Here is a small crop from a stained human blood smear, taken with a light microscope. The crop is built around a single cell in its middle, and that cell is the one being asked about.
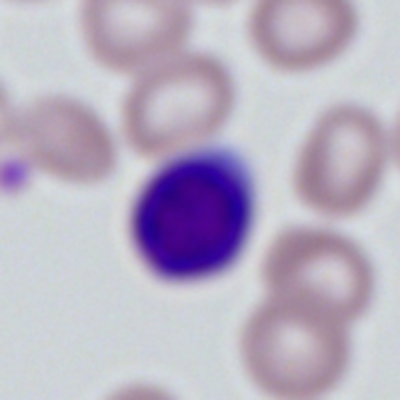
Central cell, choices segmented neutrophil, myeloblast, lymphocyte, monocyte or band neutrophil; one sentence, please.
For this crop, the central cell is a lymphocyte.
